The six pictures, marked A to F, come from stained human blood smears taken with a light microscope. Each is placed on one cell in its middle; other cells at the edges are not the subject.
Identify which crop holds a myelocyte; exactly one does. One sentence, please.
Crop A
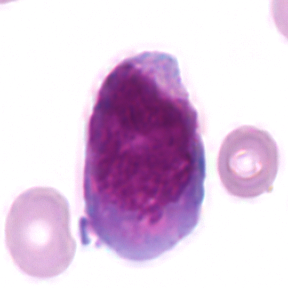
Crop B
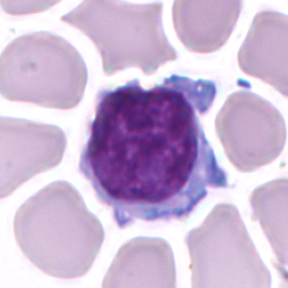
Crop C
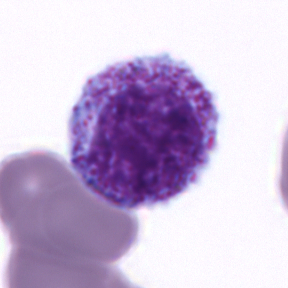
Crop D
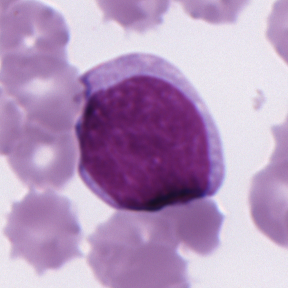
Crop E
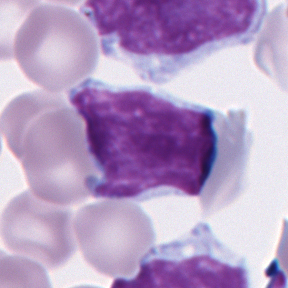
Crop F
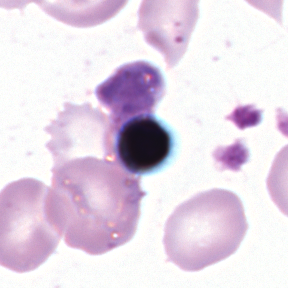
Of these crops, it is crop C that shows a myelocyte.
